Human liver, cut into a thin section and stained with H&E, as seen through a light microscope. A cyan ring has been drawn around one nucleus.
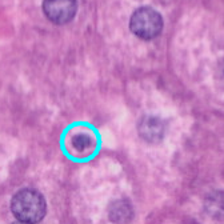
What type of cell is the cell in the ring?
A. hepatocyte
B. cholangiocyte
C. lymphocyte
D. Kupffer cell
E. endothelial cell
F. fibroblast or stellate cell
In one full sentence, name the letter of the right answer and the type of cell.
That the cell in the ring is a lymphocyte makes option C the correct choice.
